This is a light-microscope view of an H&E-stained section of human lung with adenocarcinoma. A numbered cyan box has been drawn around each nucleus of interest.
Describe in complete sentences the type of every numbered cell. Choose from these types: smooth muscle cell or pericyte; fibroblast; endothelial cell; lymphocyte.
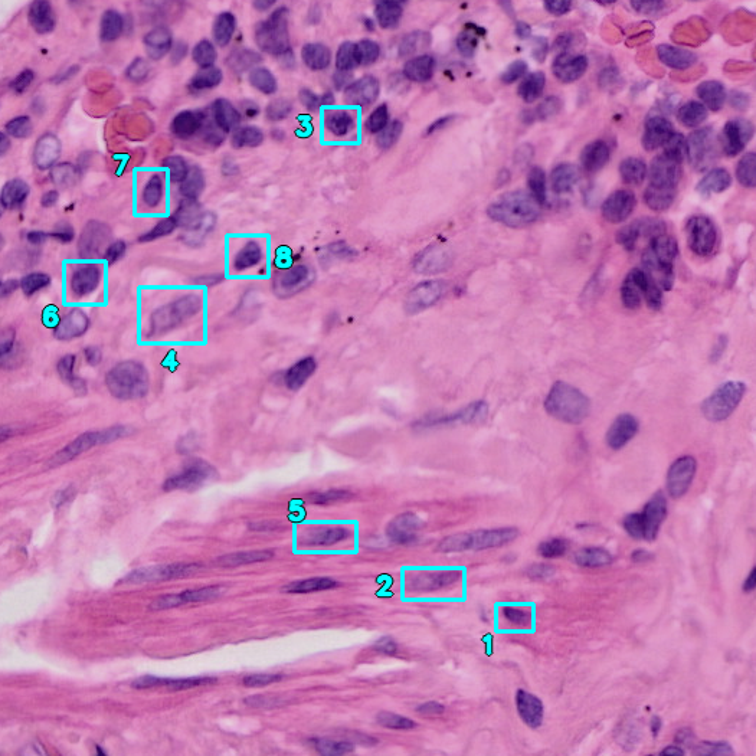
Cells 1, 2 and 5 are smooth muscle cells or pericytes. Cells 3, 6, 7 and 8 are lymphocytes. Cell 4 is a fibroblast.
